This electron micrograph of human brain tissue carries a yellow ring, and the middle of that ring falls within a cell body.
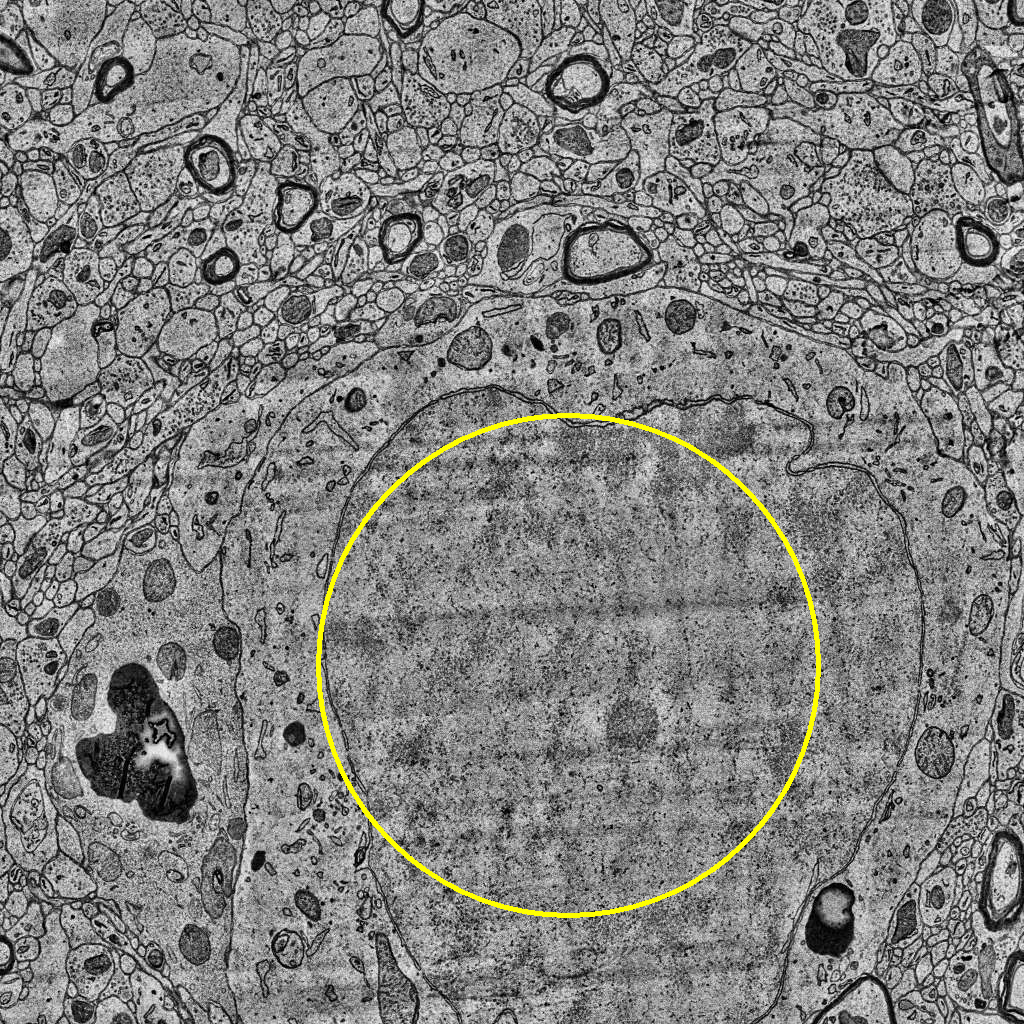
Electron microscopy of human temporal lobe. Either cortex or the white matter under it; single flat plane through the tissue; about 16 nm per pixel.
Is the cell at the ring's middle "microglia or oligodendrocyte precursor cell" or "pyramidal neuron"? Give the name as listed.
pyramidal neuron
